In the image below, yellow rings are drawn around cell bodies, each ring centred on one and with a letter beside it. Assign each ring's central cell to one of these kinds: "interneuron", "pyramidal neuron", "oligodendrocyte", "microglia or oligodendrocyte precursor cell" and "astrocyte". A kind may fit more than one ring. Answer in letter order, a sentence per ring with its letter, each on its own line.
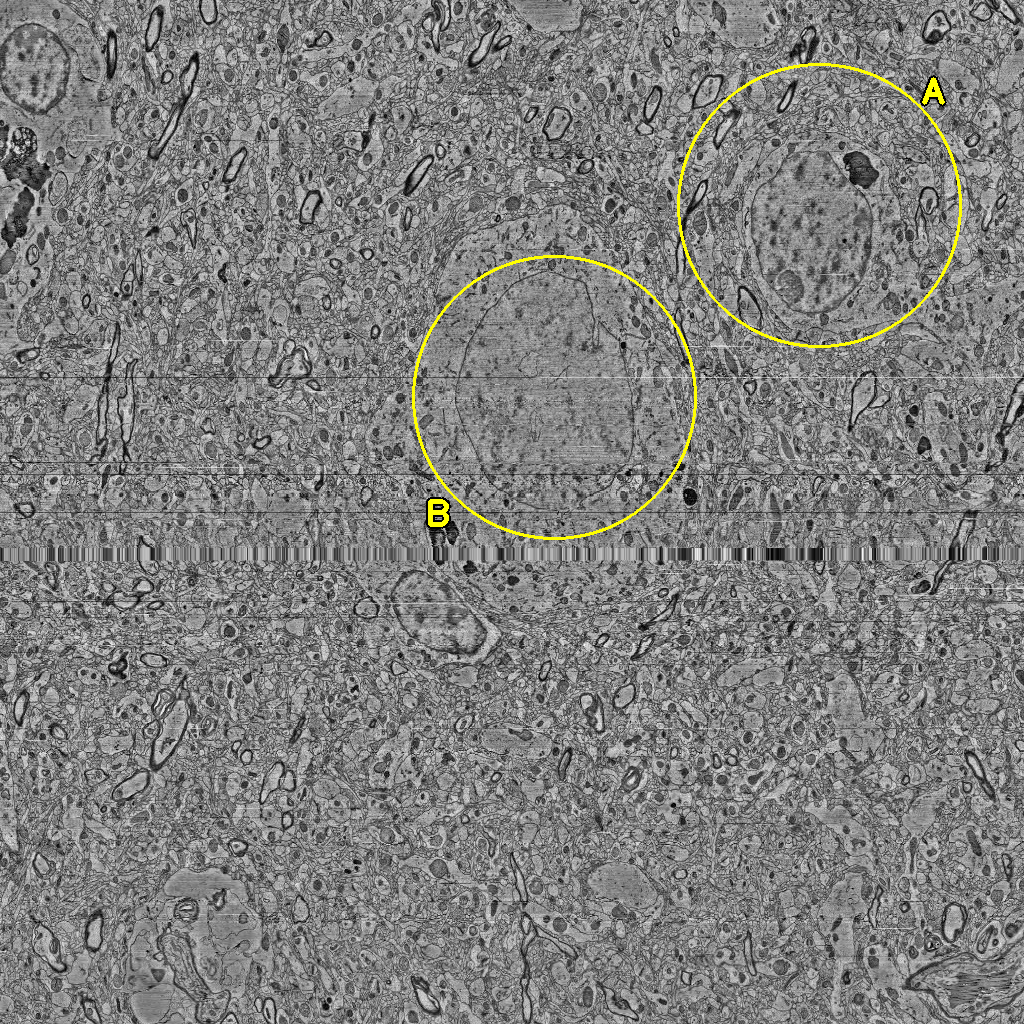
The central cell of ring A is an interneuron.
The central cell of ring B is a pyramidal neuron.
